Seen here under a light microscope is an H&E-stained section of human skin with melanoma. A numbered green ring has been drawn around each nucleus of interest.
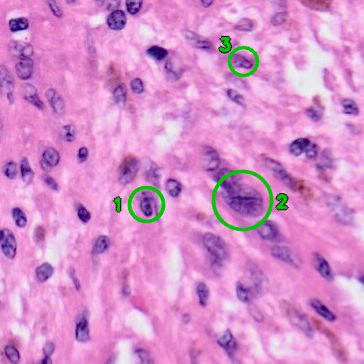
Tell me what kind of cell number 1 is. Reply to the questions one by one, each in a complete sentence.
Cell 1 should be recorded as a lymphocyte.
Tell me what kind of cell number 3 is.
The mark numbered 3 indicates the nucleus of a macrophage or monocyte.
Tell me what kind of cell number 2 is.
The numbered cell 2 in this field is a melanoma cell.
